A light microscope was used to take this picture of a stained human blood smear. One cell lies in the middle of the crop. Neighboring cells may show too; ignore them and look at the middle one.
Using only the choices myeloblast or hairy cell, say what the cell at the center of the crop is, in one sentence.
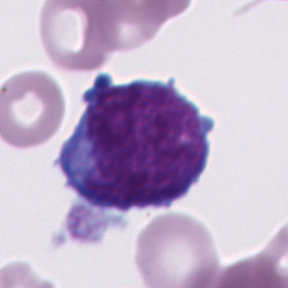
The cell of interest, in the center, is a myeloblast.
